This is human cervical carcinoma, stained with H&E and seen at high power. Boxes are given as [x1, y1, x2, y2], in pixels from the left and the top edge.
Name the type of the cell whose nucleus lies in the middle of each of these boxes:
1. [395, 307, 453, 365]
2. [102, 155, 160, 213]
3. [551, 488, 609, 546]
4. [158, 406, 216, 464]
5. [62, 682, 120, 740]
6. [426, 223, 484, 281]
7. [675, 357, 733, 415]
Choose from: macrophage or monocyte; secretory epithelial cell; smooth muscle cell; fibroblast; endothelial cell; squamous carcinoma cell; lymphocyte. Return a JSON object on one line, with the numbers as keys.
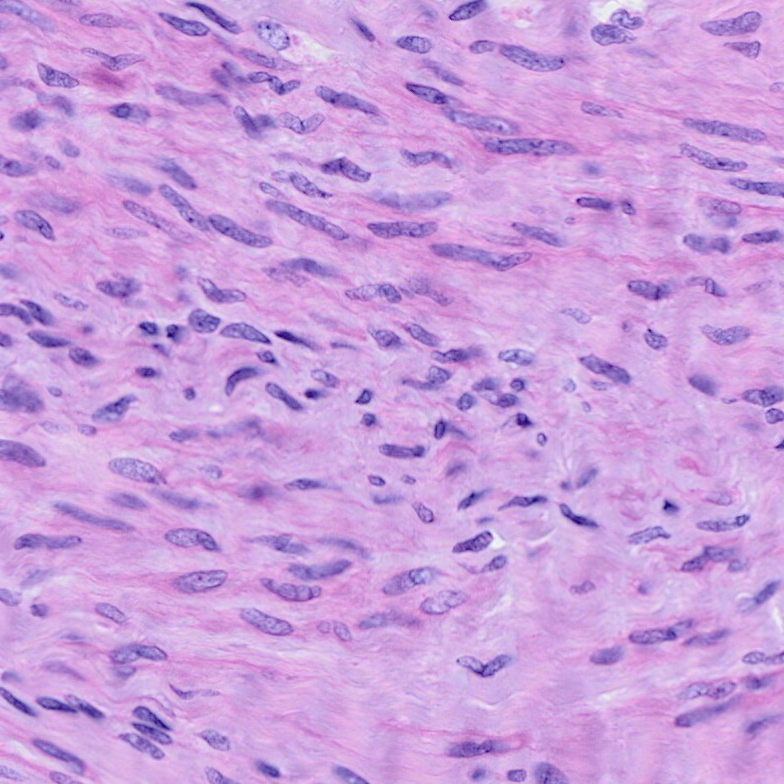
{"1": "smooth muscle cell", "2": "smooth muscle cell", "3": "fibroblast", "4": "smooth muscle cell", "5": "fibroblast", "6": "smooth muscle cell", "7": "fibroblast"}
